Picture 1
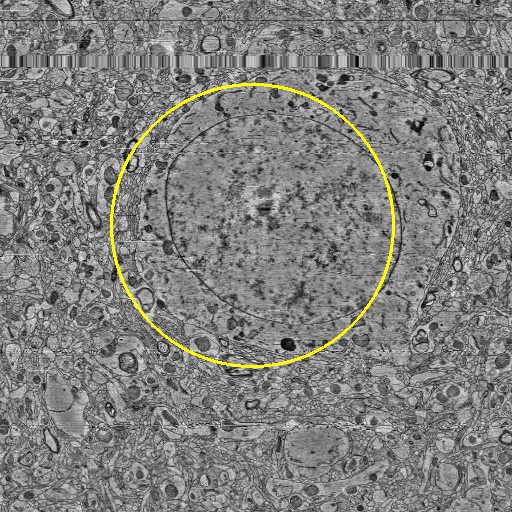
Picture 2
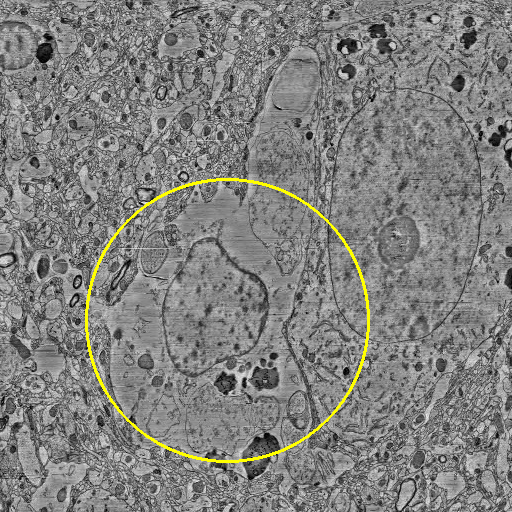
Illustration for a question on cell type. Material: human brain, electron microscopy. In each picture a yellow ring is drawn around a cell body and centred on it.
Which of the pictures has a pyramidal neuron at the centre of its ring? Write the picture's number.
1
